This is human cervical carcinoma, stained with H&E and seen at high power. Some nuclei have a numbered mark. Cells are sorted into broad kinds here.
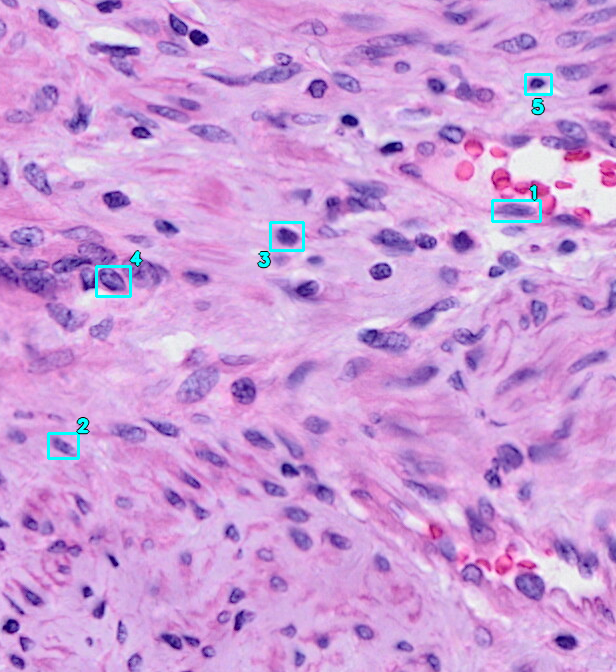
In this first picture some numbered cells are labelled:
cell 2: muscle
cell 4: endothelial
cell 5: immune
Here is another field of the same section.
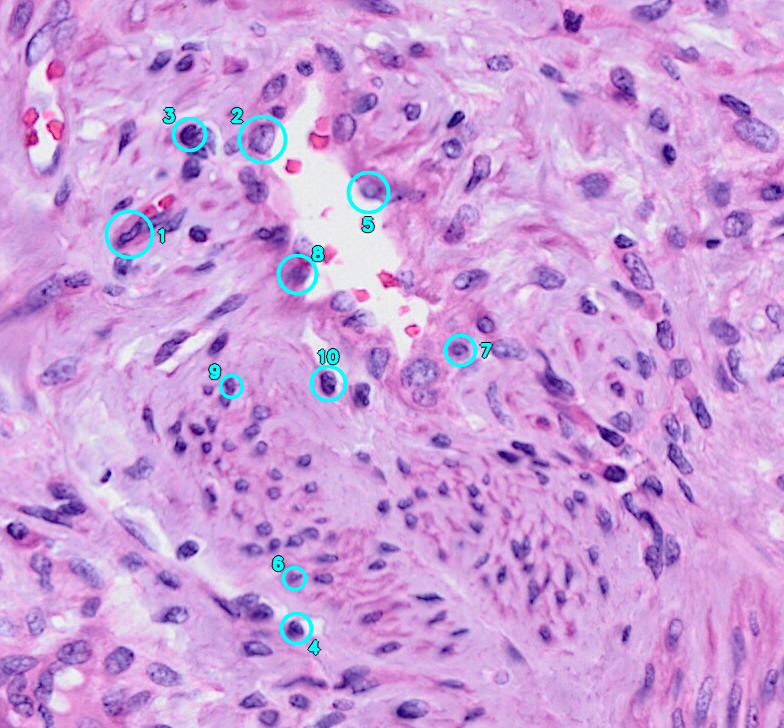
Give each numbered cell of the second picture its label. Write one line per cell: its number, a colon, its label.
1: endothelial
2: endothelial
3: immune
4: immune
5: endothelial
6: muscle
7: muscle
8: endothelial
9: muscle
10: immune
